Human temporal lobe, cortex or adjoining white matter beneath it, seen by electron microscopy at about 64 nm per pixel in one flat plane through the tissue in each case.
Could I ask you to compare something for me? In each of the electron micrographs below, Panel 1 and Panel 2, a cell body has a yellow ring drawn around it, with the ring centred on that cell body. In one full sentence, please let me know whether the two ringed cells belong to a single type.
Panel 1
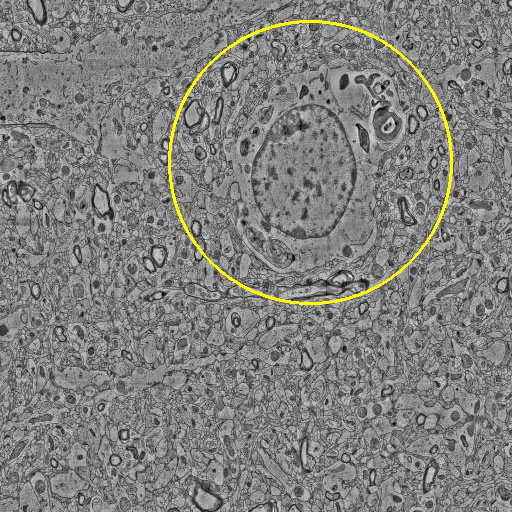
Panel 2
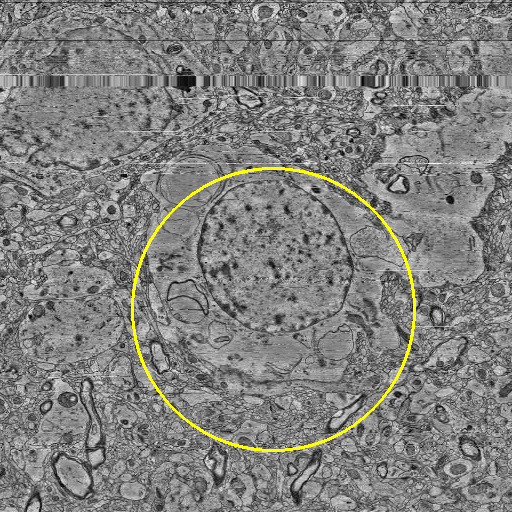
Yes, the two cells at the centres of the rings are of one type.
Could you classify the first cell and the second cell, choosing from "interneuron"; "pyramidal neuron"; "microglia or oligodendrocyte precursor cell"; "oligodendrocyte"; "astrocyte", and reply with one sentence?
Both cells are the same kind, each one being an astrocyte.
